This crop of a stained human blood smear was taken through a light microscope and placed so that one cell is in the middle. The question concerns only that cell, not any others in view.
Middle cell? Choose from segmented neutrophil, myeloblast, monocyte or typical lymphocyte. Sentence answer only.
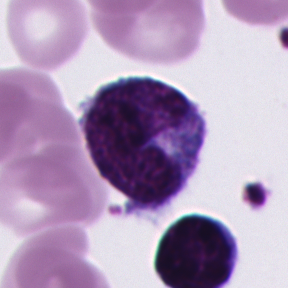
Occupying the centre of the crop is a monocyte.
